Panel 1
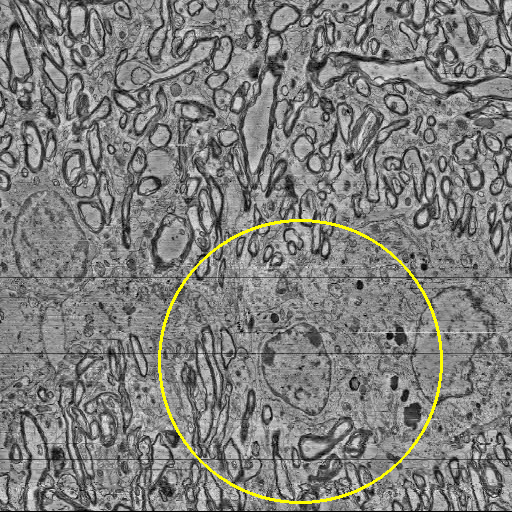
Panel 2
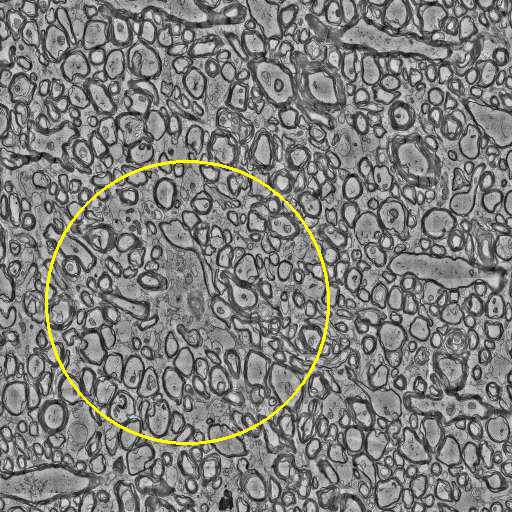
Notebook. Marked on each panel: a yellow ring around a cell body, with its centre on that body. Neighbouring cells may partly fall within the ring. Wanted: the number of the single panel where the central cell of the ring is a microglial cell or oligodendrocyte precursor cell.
1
